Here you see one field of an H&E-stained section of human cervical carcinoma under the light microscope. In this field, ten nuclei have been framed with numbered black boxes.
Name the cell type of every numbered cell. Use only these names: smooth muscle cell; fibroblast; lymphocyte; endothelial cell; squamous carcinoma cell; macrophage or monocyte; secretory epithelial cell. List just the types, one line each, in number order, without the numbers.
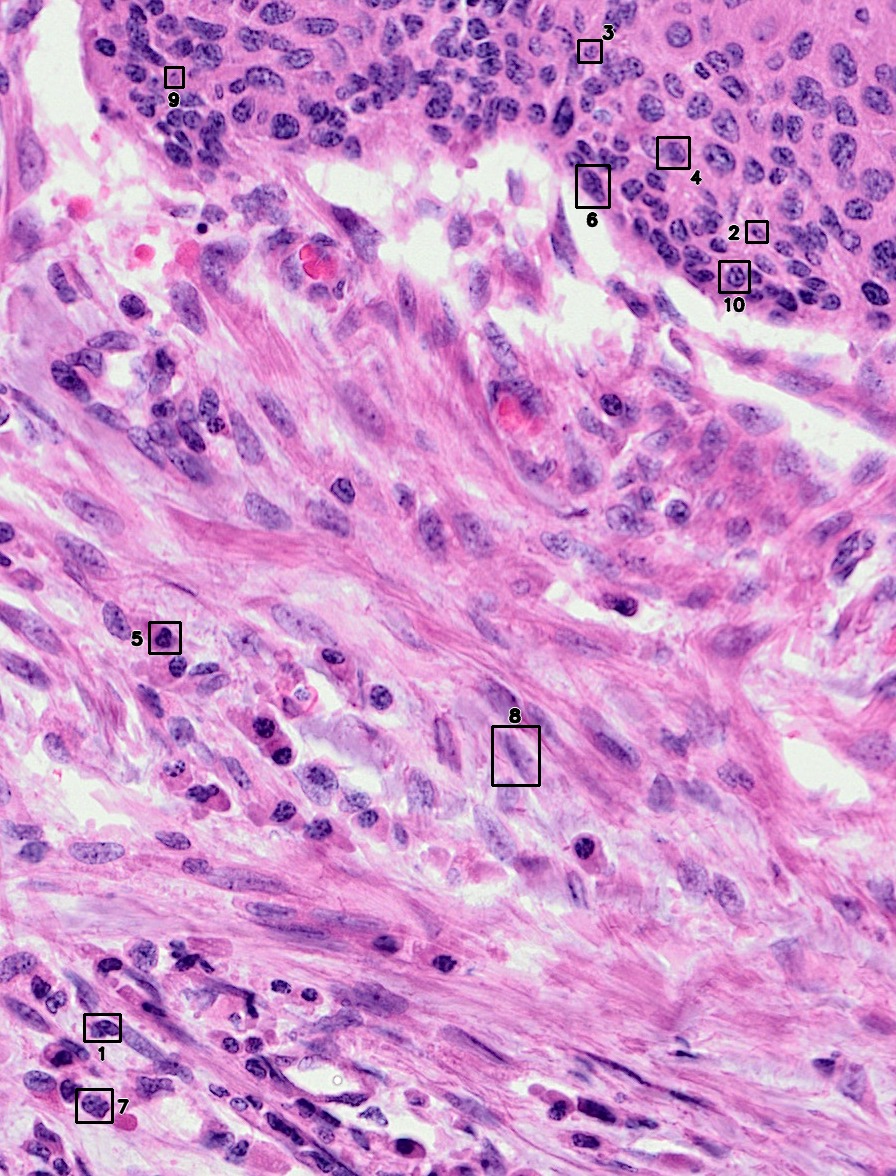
lymphocyte
squamous carcinoma cell
squamous carcinoma cell
squamous carcinoma cell
lymphocyte
squamous carcinoma cell
lymphocyte
fibroblast
squamous carcinoma cell
squamous carcinoma cell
